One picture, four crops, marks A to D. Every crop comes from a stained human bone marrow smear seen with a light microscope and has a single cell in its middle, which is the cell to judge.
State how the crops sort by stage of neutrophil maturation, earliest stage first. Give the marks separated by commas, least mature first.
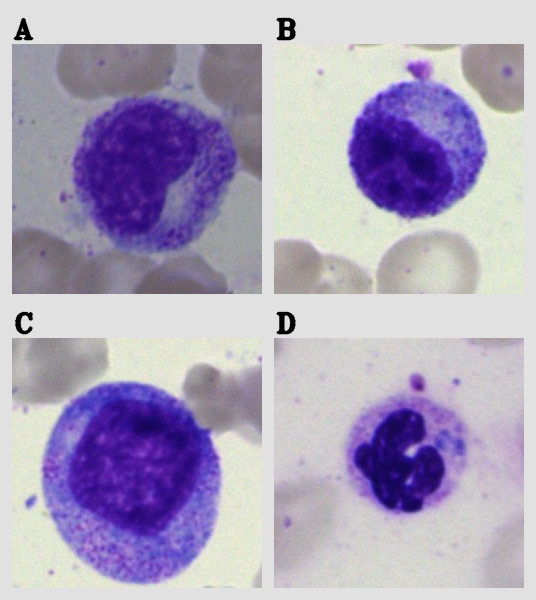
C, B, A, D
